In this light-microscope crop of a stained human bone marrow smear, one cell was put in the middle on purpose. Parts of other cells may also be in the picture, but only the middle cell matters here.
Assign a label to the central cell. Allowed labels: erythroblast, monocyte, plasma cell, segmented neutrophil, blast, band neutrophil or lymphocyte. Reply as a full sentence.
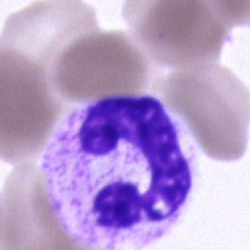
Seen at the centre of the crop is a segmented neutrophil.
